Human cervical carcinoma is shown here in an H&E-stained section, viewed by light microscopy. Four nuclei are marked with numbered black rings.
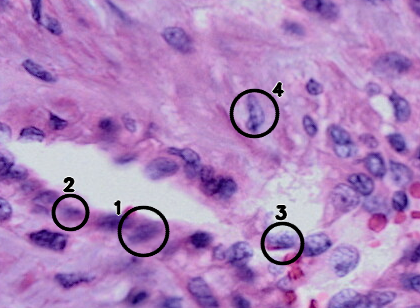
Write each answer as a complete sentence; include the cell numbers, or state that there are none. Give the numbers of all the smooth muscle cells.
Among the cells marked by numbers, there are no smooth muscle cells.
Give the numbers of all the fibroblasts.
In this set of numbered cells, only cell 4 is a fibroblast.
